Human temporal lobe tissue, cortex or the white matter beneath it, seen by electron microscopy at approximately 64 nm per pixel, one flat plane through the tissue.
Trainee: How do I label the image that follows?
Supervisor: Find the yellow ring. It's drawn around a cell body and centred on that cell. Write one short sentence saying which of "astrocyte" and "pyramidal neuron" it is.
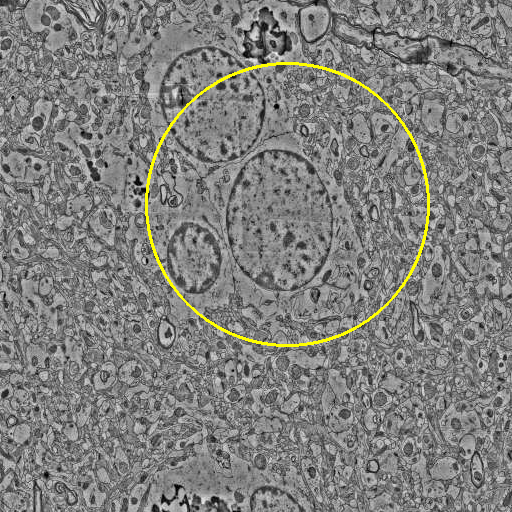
This is the cell body of an astrocyte.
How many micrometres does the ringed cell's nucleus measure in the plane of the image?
Roughly 9 by 7 micrometres in this plane, for the nucleus of the ringed cell.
